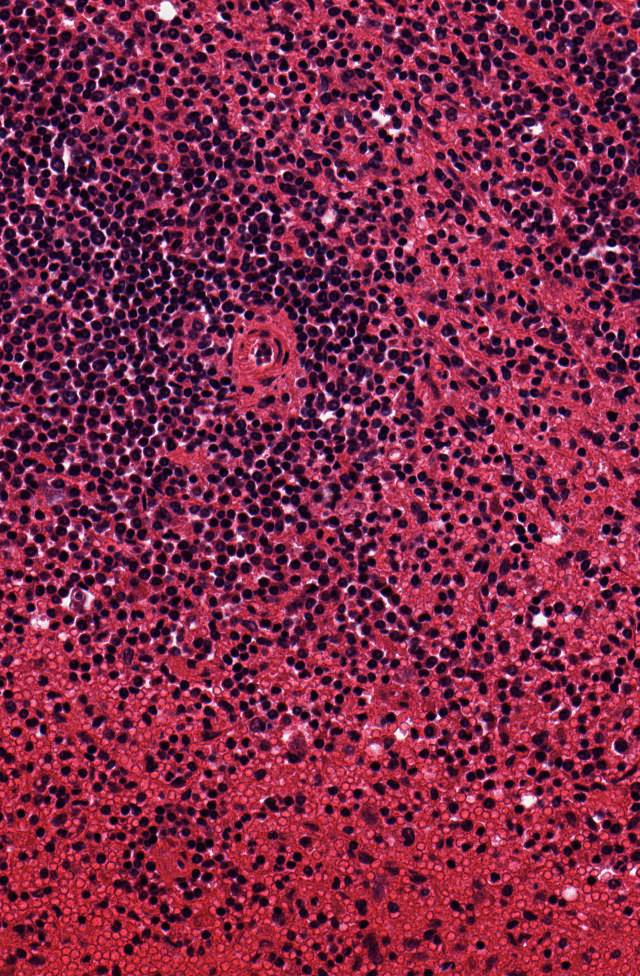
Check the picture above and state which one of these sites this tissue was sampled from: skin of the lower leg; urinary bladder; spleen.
spleen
